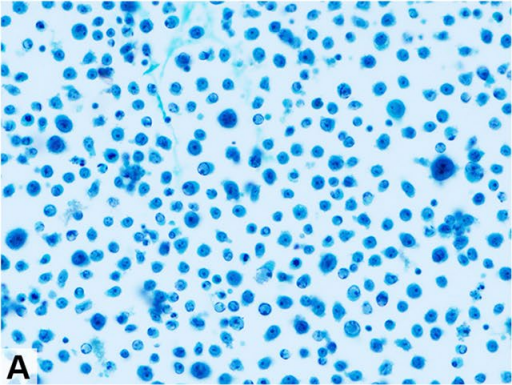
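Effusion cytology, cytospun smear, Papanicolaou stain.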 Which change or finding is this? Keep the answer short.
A: Numerous discohesive tumor cells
